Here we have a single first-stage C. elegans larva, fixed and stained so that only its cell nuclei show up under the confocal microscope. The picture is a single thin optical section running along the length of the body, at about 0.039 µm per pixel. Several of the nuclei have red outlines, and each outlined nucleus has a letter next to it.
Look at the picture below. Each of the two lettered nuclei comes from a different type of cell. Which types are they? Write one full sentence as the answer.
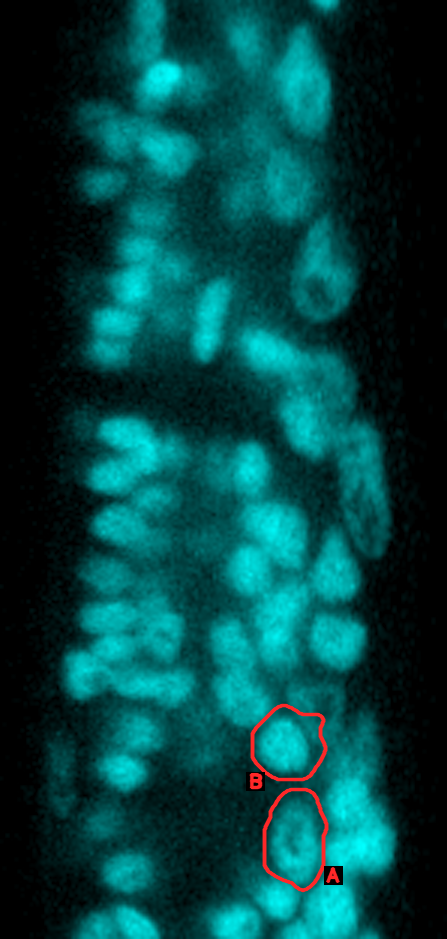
A is in a pharyngeal marginal cell and B is in a neuron.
